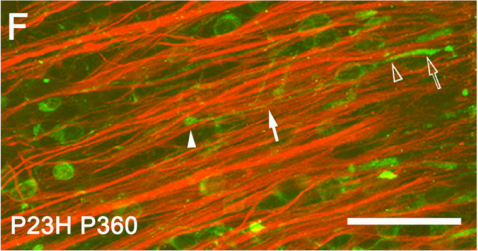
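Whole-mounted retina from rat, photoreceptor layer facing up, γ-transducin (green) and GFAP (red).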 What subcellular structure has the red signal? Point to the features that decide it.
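Long thin red fibres run in parallel across the panel. Green elongated cells lie between and along the red fibres.
Müller cell apical processes.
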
